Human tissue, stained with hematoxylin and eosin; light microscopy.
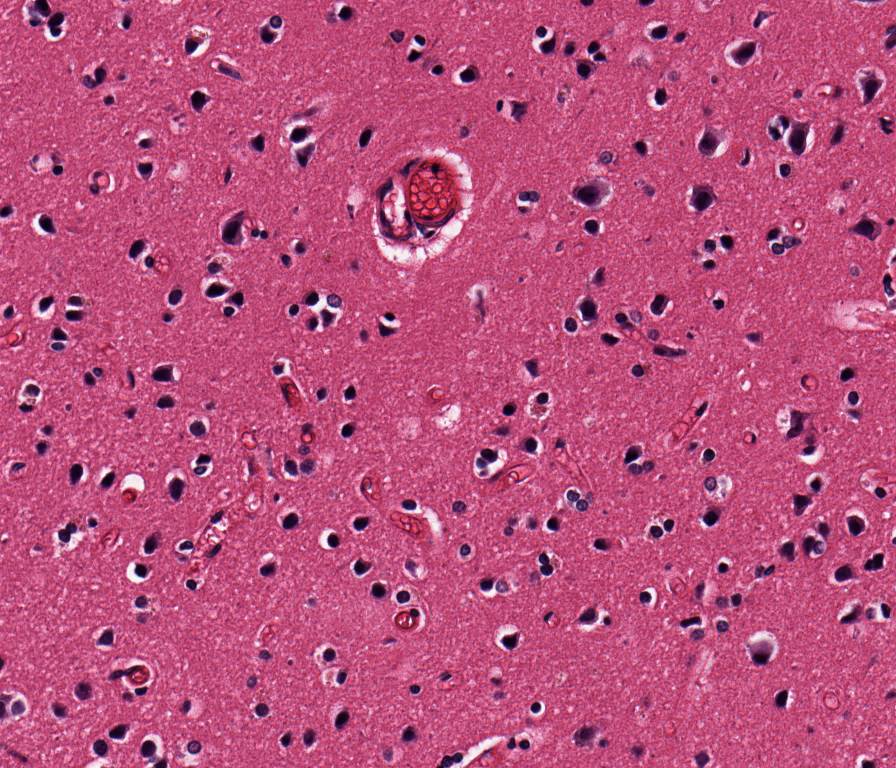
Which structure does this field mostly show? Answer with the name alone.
cerebral cortex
